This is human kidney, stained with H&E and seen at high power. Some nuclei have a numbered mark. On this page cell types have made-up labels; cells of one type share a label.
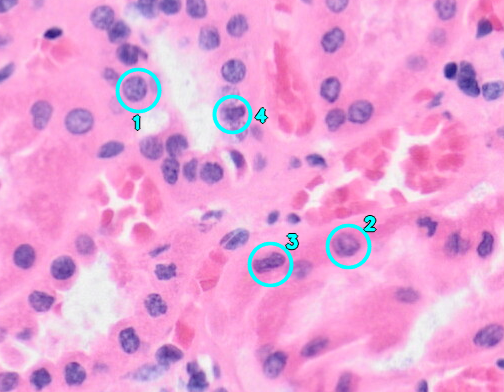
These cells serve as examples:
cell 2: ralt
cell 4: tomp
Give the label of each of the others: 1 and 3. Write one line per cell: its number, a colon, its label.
1: tomp
3: ralt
